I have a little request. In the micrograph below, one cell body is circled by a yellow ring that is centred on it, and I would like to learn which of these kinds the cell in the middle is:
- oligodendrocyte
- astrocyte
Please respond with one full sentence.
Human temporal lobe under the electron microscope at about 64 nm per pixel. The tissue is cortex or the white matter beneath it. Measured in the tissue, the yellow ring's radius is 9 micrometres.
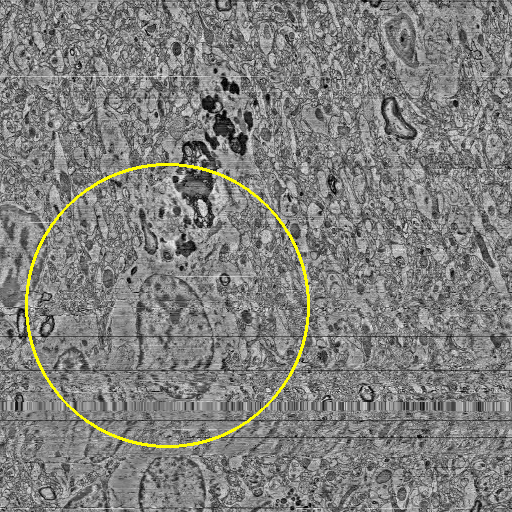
The cell sitting in the middle of the yellow ring in the micrograph is an astrocyte.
